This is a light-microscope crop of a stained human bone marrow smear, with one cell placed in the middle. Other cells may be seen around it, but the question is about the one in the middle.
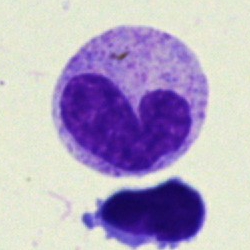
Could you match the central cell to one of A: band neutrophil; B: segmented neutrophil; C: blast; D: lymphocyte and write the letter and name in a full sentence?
The one to choose is option A, as the cell in the middle is a band neutrophil.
